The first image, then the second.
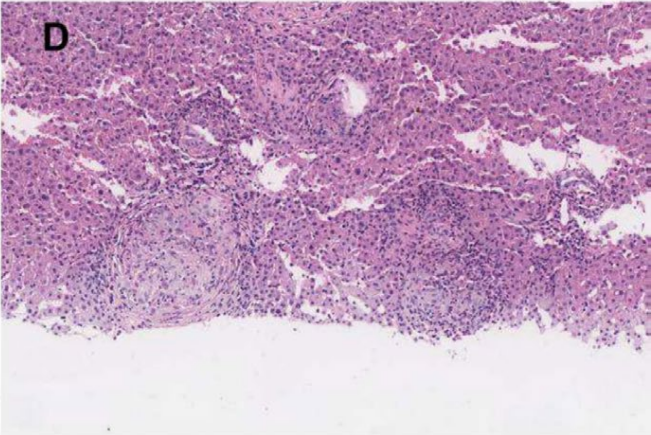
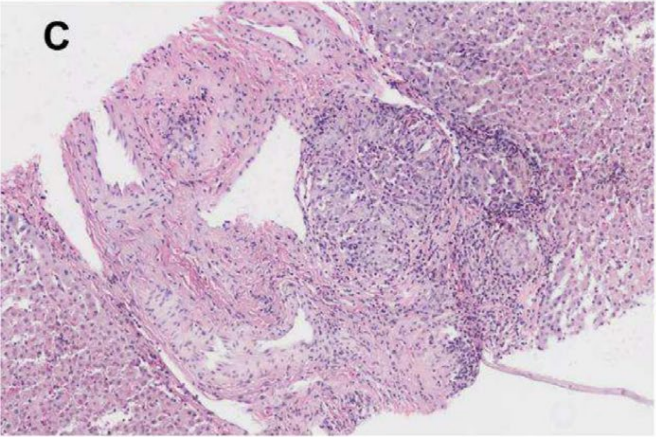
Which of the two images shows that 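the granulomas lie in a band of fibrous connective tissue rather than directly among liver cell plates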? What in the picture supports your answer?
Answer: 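First image: the nodules are surrounded directly by plates of polygonal liver cells. Second image: the nodules sit within wavy pink fibrous tissue at the edge of the liver tissue. So: the second image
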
